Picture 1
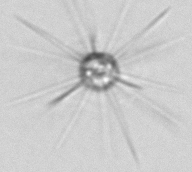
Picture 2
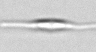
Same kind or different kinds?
Different: the first is a radiolarian, the second Cylindrotheca.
